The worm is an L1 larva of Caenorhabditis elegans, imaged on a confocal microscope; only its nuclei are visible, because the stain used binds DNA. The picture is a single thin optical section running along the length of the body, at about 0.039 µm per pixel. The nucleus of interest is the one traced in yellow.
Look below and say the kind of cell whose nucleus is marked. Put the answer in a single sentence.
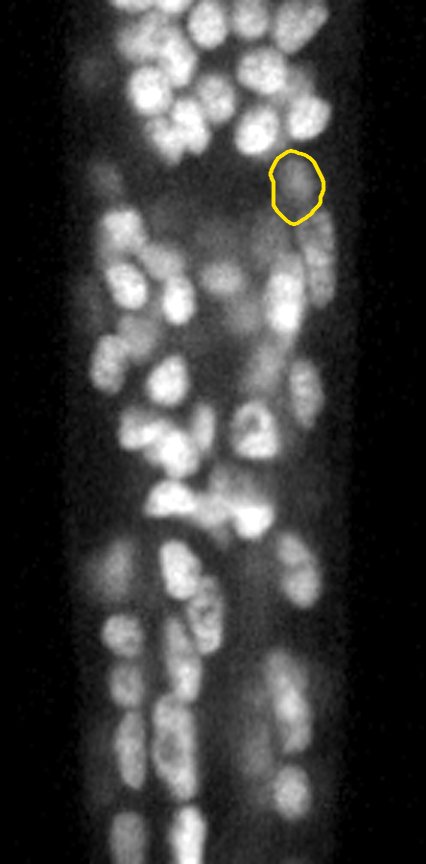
The cell with the marked nucleus is a body wall muscle cell.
